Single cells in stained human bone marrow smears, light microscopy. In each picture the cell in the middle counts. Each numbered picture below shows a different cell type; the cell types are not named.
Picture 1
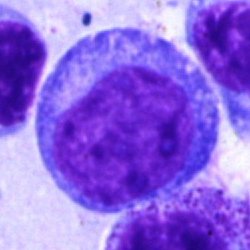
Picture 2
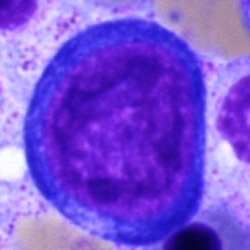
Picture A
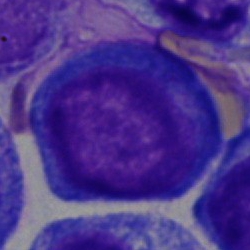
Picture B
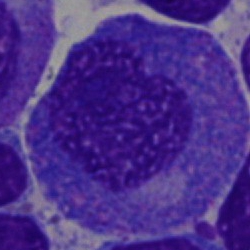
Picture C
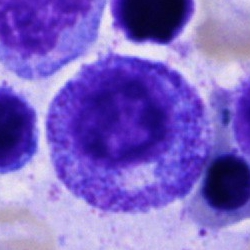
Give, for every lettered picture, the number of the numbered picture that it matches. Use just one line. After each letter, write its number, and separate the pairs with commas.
A 2, B 1, C 1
